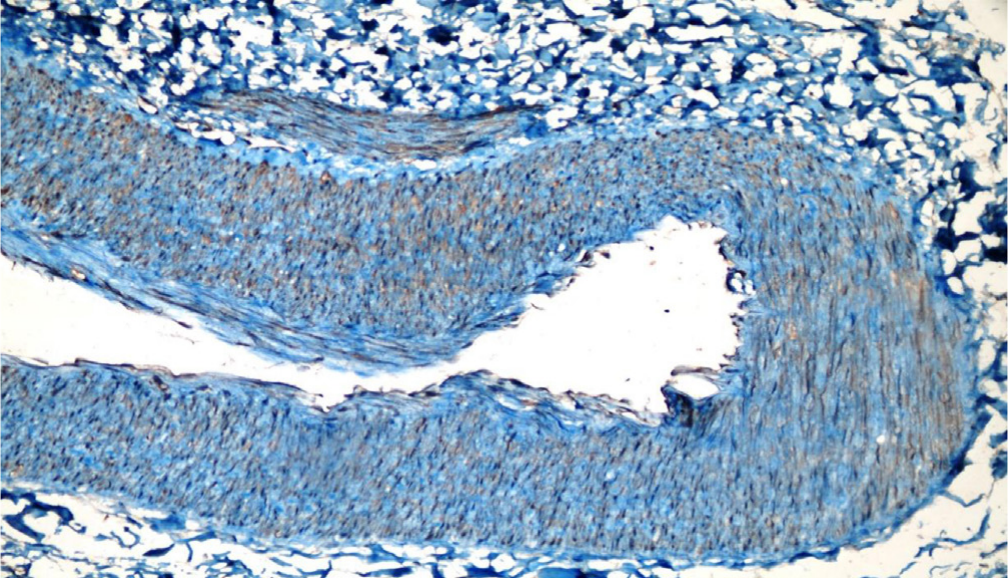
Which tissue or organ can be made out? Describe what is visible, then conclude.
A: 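Artery. A thick, densely cellular muscular wall surrounds a central irregular lumen. The wall is made of closely packed spindle-shaped cells with elongated nuclei in layers. Loose tissue with large empty fat-cell spaces lies outside the wall.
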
